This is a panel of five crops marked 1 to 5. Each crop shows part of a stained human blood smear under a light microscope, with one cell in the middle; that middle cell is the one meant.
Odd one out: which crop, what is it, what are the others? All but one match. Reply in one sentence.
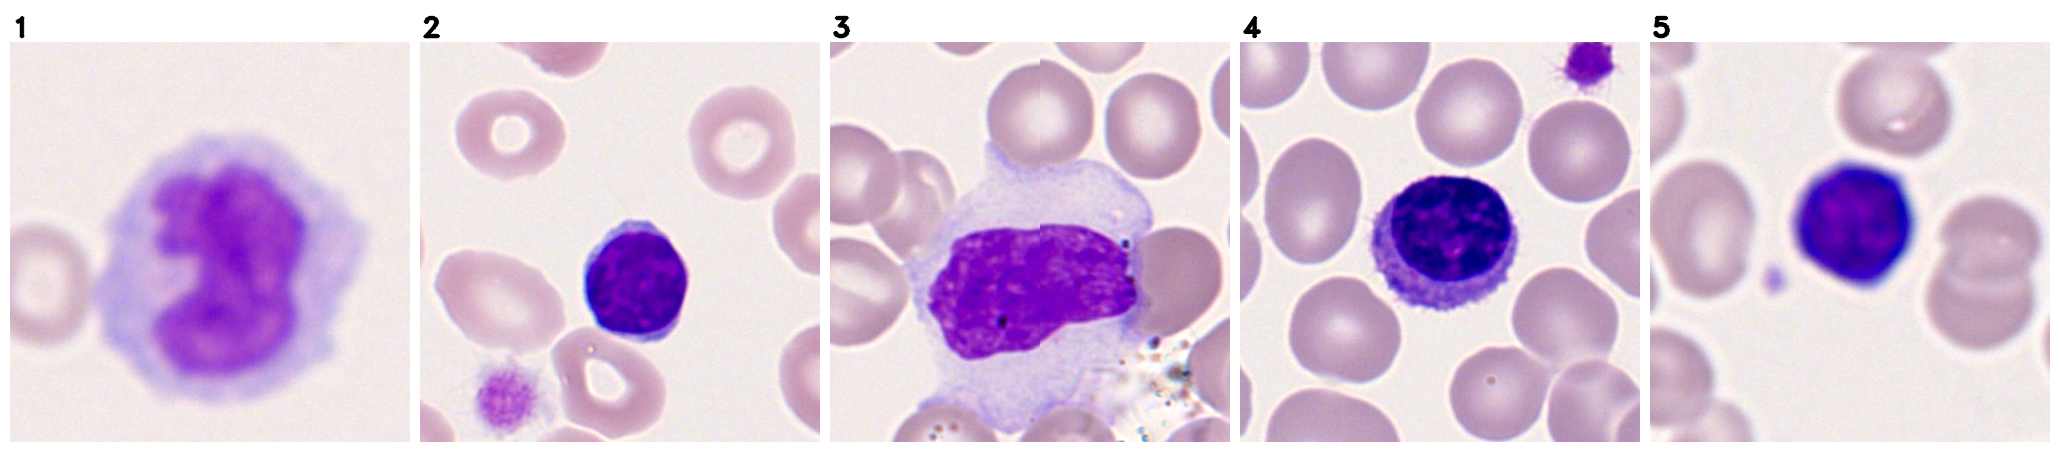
The central cell of crop 1 is a monocyte, while the other crops show lymphocytes.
